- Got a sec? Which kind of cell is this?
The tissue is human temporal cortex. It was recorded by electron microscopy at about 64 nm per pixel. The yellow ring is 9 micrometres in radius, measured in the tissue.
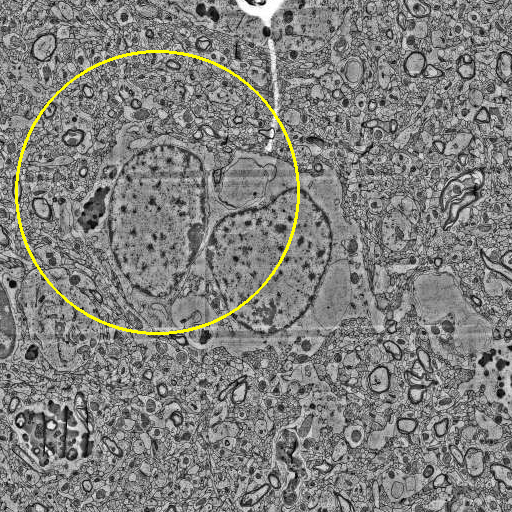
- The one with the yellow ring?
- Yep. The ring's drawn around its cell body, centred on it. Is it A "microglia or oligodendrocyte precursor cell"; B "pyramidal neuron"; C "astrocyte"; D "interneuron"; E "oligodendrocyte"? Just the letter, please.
C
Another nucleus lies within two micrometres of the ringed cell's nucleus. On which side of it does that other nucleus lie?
That other nucleus appears to the right of it.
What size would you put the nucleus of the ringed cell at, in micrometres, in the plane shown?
The nucleus is approximately 10 micrometres long but only about 6 wide, clearly longer than it is wide in this plane.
